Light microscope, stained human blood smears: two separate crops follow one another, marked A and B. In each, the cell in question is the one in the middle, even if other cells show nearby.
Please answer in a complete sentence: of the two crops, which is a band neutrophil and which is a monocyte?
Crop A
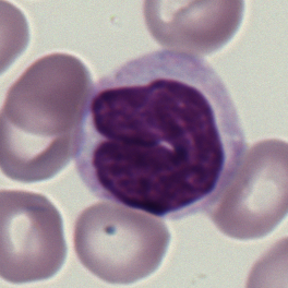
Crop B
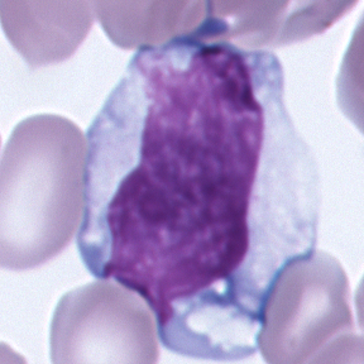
Crop A shows a band neutrophil, whereas crop B shows a monocyte.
